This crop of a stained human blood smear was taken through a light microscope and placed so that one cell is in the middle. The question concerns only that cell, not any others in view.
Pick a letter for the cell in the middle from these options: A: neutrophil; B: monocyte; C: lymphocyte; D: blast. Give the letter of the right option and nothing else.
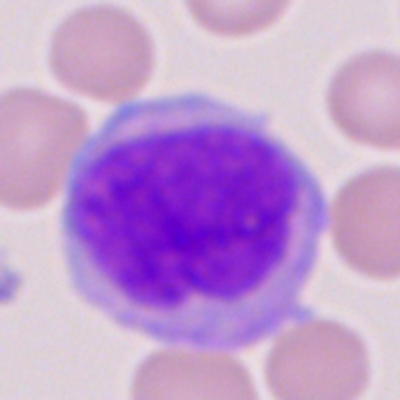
B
